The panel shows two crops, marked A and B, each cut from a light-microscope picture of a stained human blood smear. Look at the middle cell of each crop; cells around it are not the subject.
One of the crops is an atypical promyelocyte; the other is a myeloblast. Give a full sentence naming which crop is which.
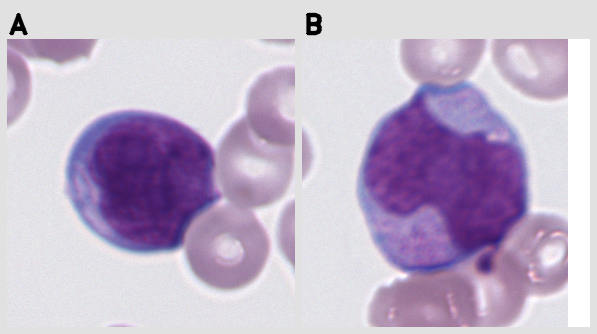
The crop labelled A is a myeloblast, and the crop labelled B is an atypical promyelocyte.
